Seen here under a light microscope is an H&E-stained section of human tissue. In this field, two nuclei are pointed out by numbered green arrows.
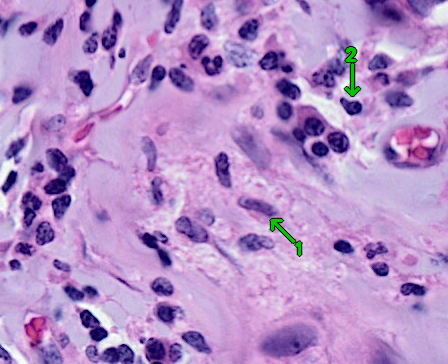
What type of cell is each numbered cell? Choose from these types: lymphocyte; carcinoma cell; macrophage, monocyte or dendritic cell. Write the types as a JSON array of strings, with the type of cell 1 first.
["macrophage, monocyte or dendritic cell", "lymphocyte"]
